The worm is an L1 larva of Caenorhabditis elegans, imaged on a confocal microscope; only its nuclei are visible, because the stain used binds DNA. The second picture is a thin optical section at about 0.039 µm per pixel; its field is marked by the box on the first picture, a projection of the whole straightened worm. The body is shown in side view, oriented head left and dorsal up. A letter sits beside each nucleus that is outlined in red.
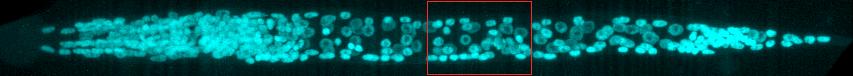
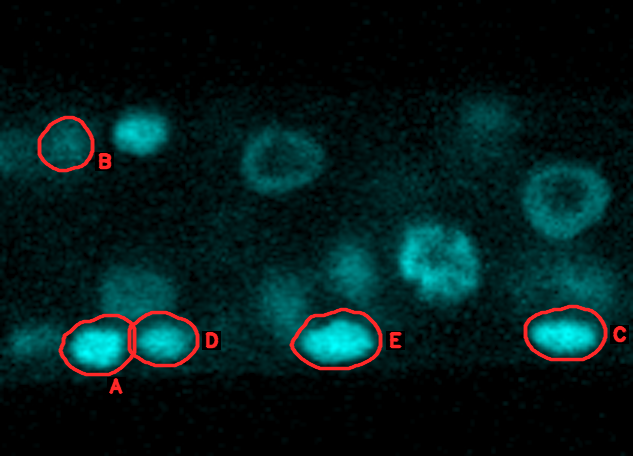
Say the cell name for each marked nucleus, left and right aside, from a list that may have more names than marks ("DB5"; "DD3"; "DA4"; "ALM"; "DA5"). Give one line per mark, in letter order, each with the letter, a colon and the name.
A: DA4
B: ALM
C: DA5
D: DD3
E: DB5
